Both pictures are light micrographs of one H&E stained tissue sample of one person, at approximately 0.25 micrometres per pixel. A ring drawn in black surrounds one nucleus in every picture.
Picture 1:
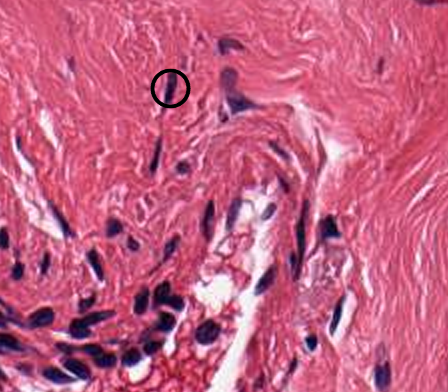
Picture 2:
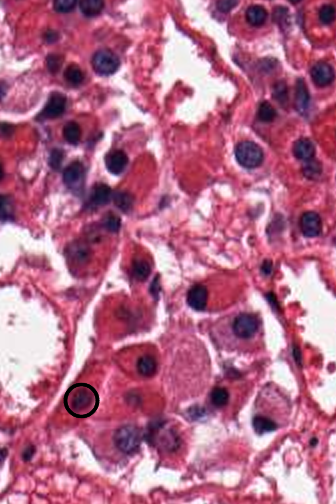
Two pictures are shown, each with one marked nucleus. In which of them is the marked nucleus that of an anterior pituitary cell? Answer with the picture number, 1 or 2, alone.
2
